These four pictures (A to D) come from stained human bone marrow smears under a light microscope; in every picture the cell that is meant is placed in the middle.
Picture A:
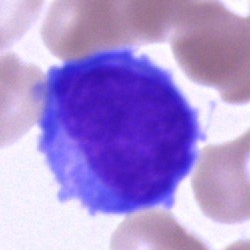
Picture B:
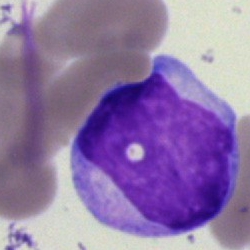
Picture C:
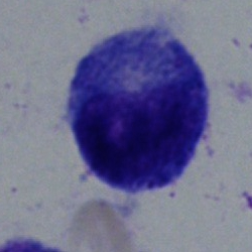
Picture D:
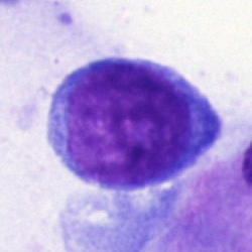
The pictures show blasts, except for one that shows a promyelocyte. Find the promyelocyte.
C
